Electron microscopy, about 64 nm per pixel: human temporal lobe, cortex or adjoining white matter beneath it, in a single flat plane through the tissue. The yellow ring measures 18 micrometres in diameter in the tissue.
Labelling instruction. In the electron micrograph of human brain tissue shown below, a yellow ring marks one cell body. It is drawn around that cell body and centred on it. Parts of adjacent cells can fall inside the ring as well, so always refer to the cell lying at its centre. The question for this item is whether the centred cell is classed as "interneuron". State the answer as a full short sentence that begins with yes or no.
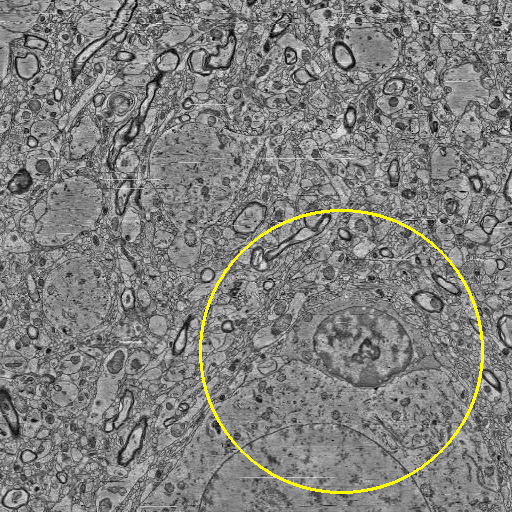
No, the centred cell belongs to another class.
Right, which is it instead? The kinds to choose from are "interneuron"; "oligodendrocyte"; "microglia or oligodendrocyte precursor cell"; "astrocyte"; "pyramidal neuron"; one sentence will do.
The cell marked by the ring is an oligodendrocyte.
